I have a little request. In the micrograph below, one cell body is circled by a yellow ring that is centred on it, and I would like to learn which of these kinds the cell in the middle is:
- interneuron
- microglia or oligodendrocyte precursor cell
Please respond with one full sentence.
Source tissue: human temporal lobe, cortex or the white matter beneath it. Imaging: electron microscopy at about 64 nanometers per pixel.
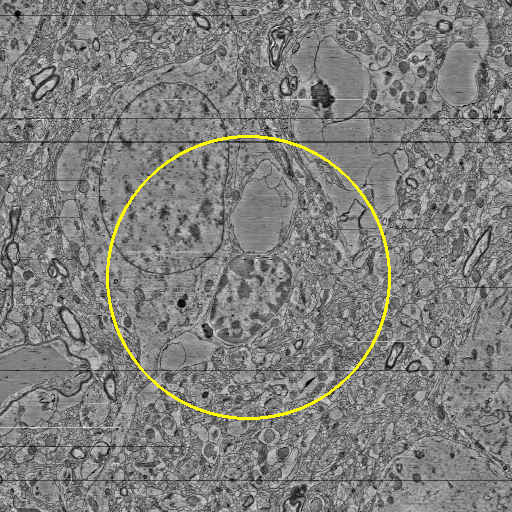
The cell sitting in the middle of the yellow ring in the micrograph is a microglial cell or oligodendrocyte precursor cell.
